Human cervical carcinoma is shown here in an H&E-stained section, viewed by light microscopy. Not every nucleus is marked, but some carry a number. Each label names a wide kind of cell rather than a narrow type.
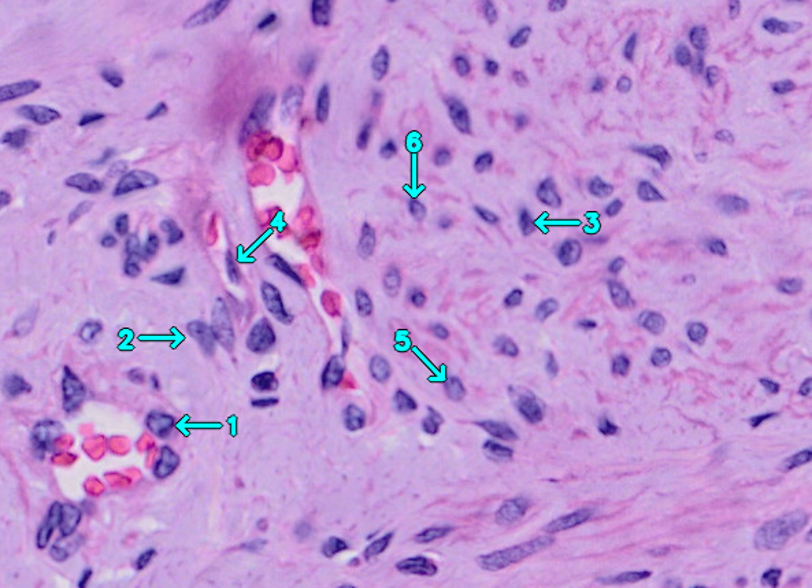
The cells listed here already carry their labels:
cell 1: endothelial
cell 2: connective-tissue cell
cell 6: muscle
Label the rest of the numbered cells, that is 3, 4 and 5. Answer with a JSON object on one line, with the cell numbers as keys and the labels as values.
{"3": "connective-tissue cell", "4": "endothelial", "5": "muscle"}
